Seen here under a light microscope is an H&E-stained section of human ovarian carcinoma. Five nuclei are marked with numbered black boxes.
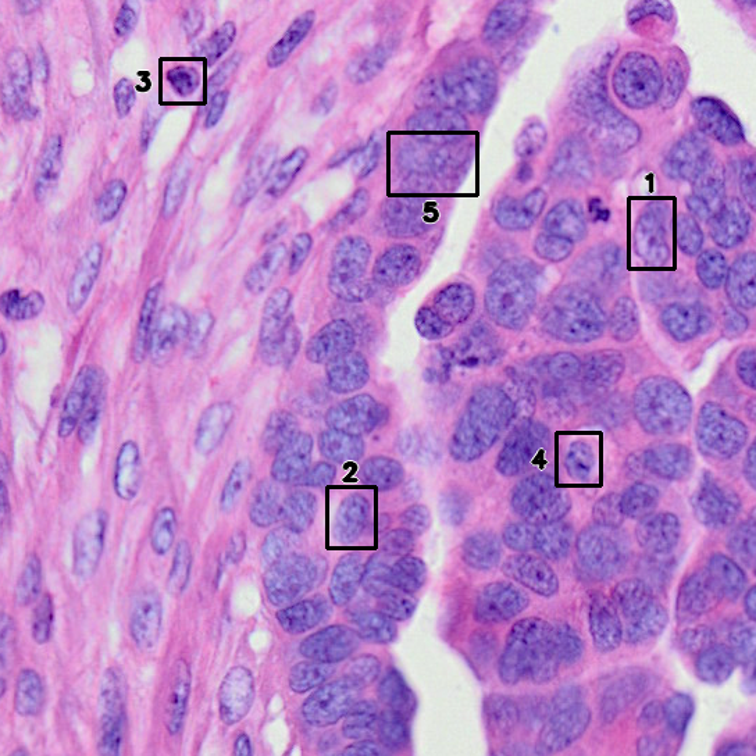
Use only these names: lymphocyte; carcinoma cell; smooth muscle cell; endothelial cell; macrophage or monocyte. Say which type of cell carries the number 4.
macrophage or monocyte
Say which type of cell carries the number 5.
carcinoma cell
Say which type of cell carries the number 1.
carcinoma cell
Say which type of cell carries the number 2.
carcinoma cell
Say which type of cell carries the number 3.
lymphocyte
